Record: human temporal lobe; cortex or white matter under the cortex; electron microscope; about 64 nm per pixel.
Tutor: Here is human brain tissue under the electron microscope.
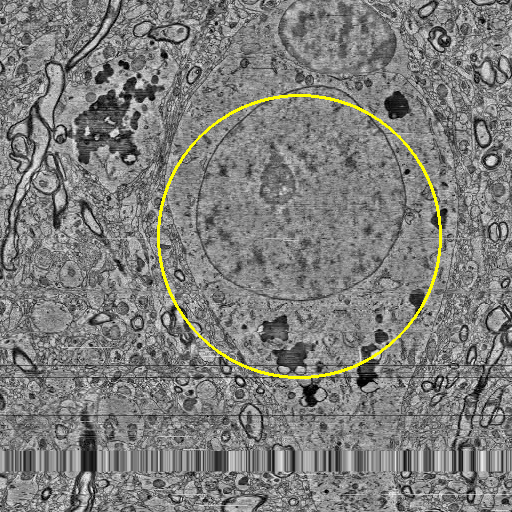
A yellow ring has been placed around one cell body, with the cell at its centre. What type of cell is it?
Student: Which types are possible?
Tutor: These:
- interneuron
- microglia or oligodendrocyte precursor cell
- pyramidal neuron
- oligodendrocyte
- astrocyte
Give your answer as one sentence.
What the ring picks out here is a pyramidal neuron.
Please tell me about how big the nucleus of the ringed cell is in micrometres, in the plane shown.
About 14 micrometres across in this plane.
